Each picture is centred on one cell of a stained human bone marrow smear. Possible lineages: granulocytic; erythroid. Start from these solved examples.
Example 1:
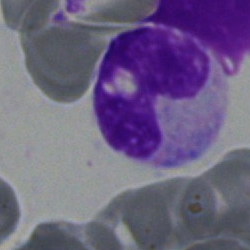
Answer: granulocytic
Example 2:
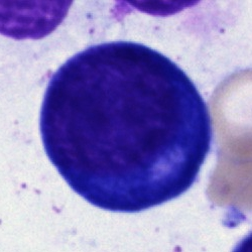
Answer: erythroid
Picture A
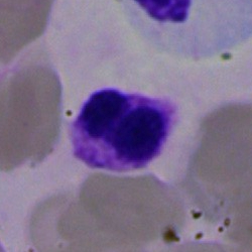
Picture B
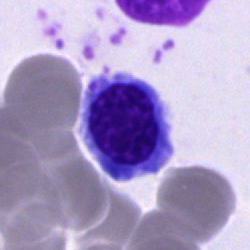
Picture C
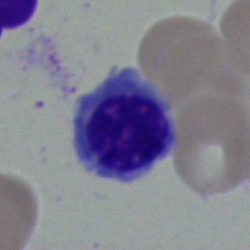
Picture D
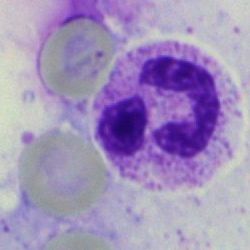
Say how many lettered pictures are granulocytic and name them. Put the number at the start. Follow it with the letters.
Count: 2 (A, D)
